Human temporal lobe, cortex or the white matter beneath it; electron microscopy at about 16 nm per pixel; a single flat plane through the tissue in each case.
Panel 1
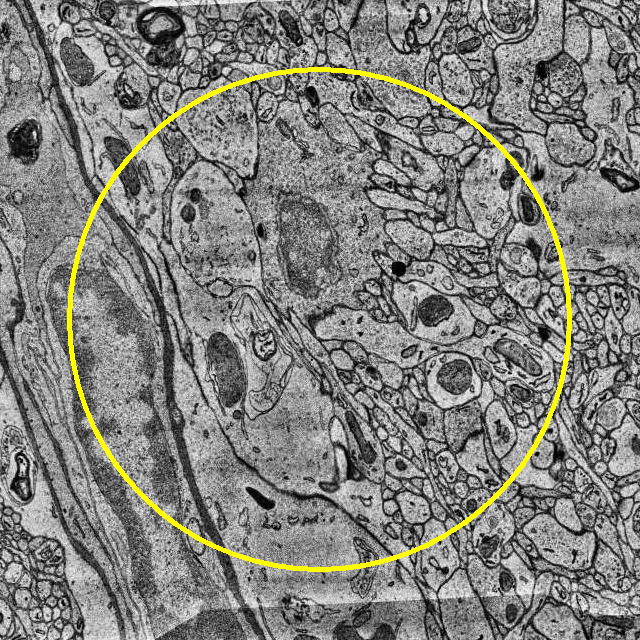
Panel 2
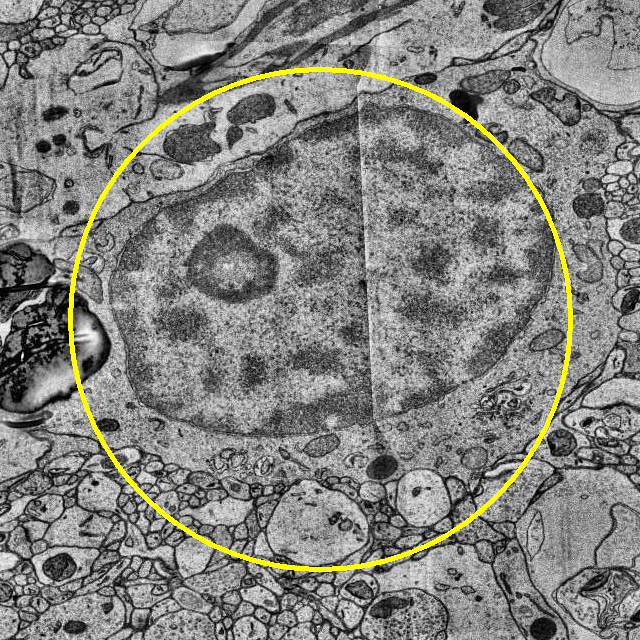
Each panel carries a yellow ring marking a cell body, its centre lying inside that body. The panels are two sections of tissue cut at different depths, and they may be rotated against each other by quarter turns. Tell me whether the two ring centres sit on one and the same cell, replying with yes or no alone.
yes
